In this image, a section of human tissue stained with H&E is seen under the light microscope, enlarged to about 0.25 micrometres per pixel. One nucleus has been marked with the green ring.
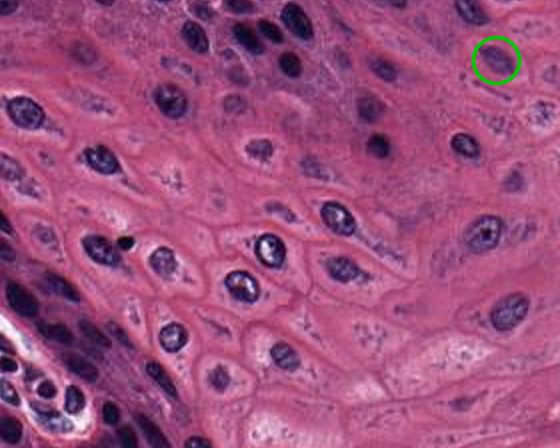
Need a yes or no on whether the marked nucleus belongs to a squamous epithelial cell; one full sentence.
Yes, the marked nucleus sits in a squamous epithelial cell.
